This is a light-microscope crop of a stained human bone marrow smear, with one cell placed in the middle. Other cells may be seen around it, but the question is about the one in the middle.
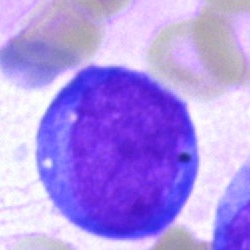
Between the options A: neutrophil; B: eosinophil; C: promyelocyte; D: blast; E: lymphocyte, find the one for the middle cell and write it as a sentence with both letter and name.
The cell placed in the middle is a blast; option D is correct.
